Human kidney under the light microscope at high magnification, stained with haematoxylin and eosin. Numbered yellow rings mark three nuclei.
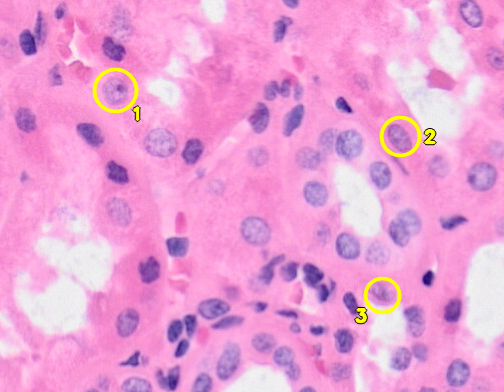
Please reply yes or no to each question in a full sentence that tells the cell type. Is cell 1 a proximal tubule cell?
Yes, cell number 1 is classified as a proximal tubule cell.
